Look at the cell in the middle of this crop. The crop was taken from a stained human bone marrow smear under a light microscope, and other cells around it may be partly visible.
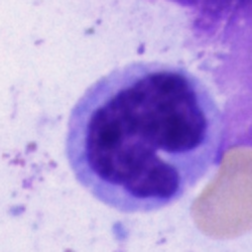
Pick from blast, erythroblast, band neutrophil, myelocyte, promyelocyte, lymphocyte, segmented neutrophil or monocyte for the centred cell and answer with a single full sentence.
Here the centrally located cell is a monocyte.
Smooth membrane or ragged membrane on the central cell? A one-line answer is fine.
The membrane contour is even and smooth, with nothing projecting from it.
